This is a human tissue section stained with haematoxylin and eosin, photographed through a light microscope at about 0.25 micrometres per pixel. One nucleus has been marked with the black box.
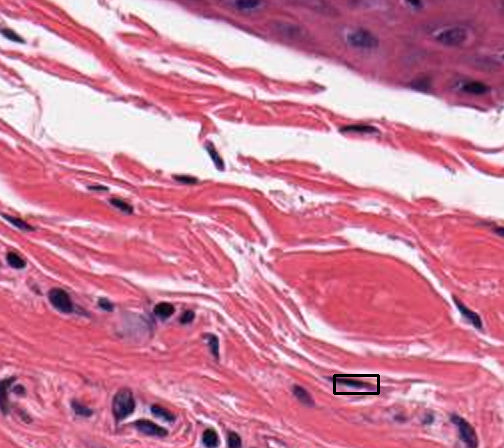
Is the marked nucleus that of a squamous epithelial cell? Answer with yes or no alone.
no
